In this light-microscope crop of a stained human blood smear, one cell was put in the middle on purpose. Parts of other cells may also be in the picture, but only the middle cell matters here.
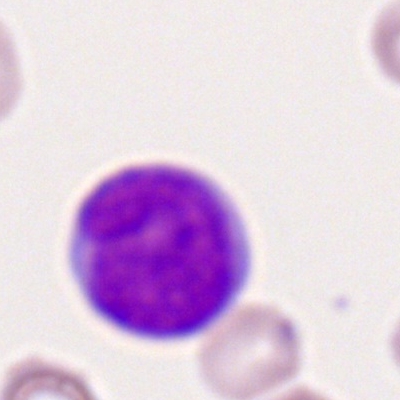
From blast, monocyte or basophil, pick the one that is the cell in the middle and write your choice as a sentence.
The cell of interest, located centrally, is a blast.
